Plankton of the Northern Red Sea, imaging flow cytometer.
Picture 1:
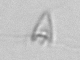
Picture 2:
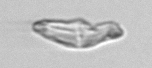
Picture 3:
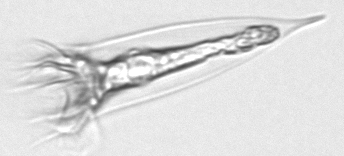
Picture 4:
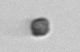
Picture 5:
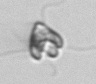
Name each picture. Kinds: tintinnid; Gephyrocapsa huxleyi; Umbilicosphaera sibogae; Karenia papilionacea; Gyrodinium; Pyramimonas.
1. Pyramimonas
2. Karenia papilionacea
3. tintinnid
4. Gephyrocapsa huxleyi
5. Pyramimonas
